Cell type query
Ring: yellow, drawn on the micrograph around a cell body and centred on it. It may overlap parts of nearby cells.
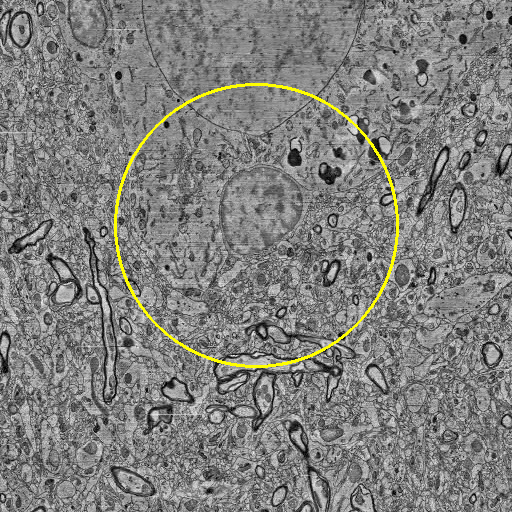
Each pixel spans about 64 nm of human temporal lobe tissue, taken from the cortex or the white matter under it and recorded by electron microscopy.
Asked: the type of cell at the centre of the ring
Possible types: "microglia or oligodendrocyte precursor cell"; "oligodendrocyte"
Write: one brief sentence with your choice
The ring marks an oligodendrocyte.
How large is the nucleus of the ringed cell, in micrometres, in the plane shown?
In this plane, approximately 6 by 5 micrometers.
